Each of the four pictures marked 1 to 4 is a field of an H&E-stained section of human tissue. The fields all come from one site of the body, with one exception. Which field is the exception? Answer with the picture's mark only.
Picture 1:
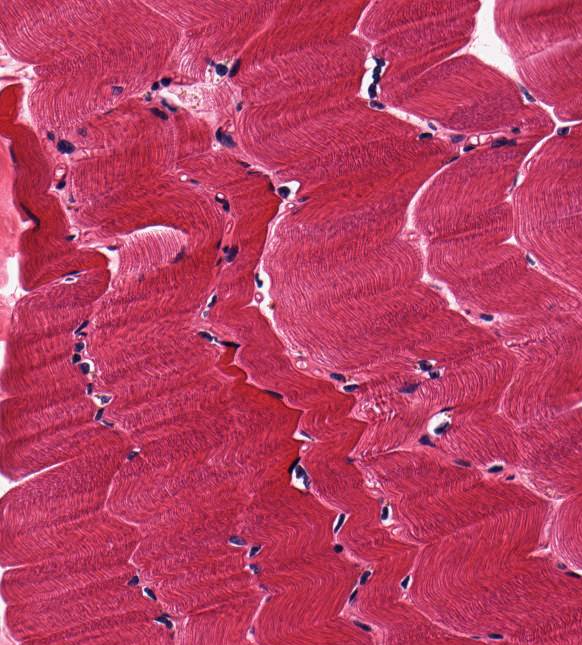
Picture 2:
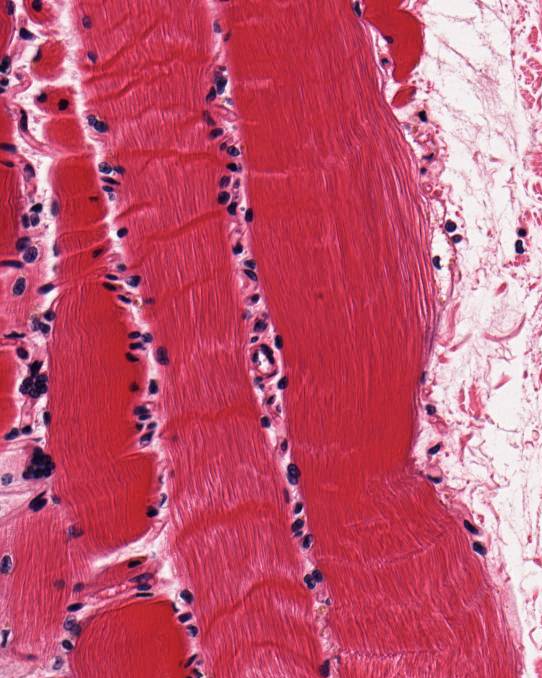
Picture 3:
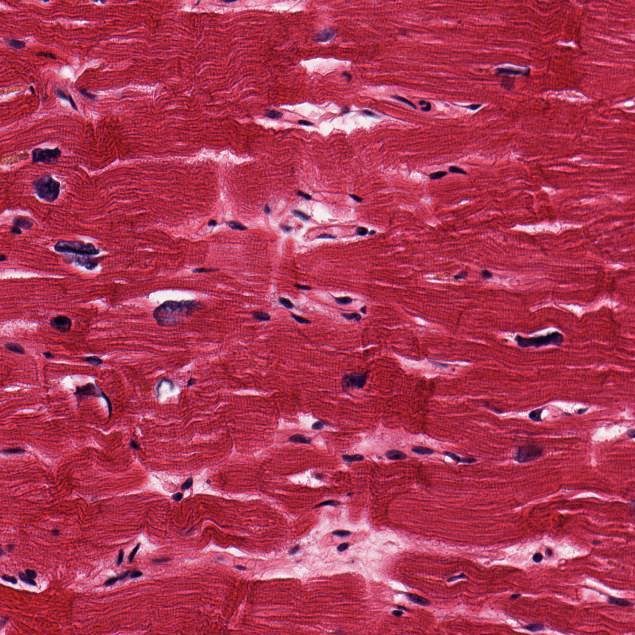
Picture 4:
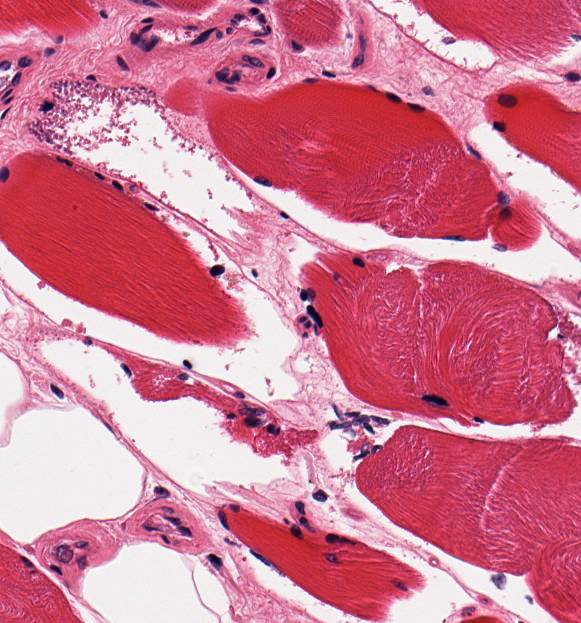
3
